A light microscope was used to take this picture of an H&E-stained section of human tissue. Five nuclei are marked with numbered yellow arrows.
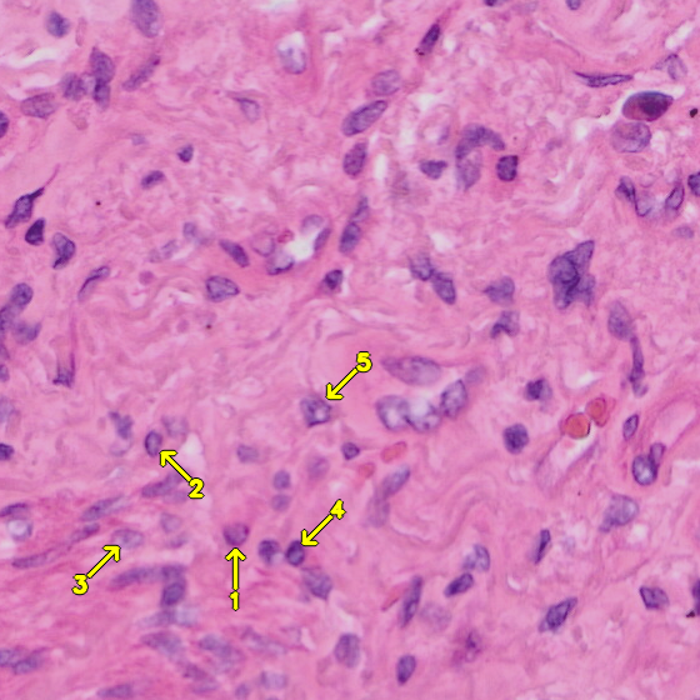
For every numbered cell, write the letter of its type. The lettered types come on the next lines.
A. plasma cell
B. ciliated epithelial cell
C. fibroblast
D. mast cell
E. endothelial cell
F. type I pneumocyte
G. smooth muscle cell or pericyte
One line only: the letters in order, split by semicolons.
D; D; G; D; C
